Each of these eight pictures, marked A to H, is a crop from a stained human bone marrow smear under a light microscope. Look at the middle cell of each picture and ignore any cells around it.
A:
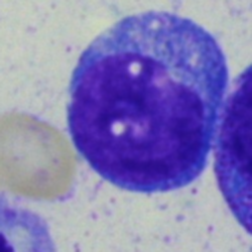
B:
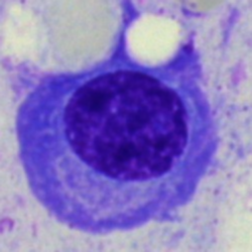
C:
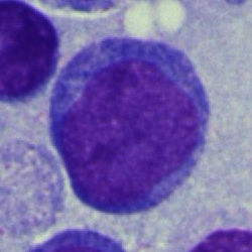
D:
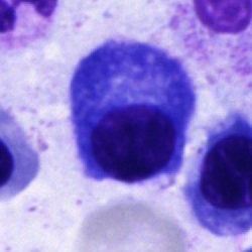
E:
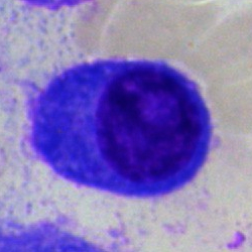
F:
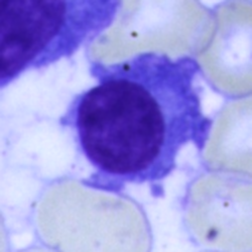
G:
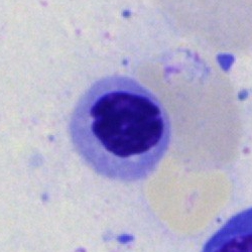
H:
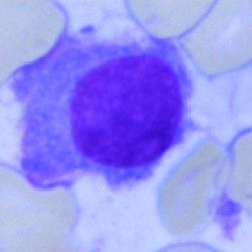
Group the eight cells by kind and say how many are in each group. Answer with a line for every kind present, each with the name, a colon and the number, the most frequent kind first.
plasma cell: 5
blast: 2
erythroblast: 1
